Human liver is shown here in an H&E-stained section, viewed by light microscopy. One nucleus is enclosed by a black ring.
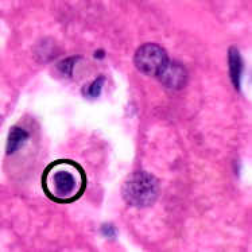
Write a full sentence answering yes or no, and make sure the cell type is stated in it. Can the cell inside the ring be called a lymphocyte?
Yes, the identification of the cell inside the ring as a lymphocyte stands.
